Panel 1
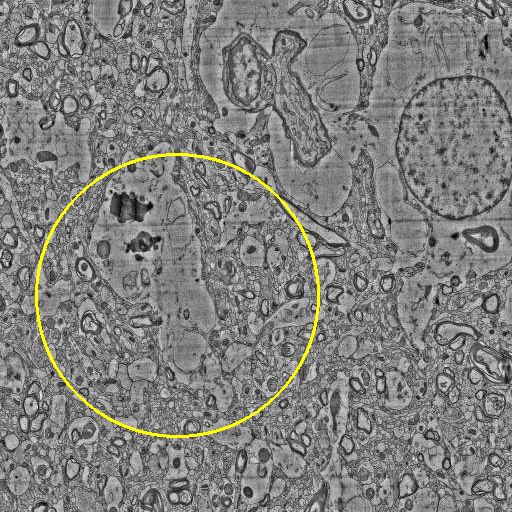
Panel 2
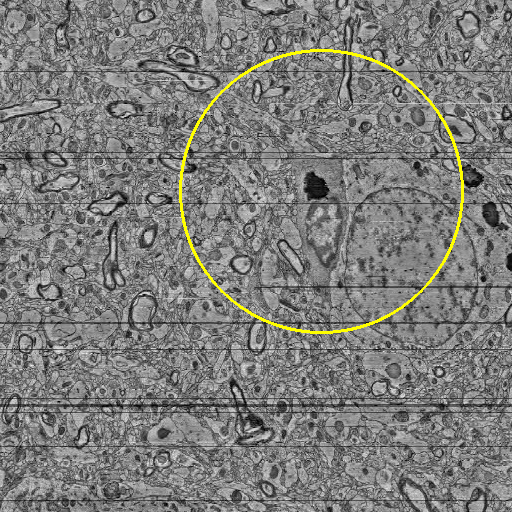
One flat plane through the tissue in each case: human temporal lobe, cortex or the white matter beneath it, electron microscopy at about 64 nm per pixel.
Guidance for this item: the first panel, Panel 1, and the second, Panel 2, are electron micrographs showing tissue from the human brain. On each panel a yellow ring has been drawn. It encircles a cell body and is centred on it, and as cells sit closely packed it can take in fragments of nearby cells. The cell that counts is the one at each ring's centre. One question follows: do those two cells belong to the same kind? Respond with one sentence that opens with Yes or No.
No, the cells at the ring centres in Panel 1 and Panel 2 are of two kinds.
